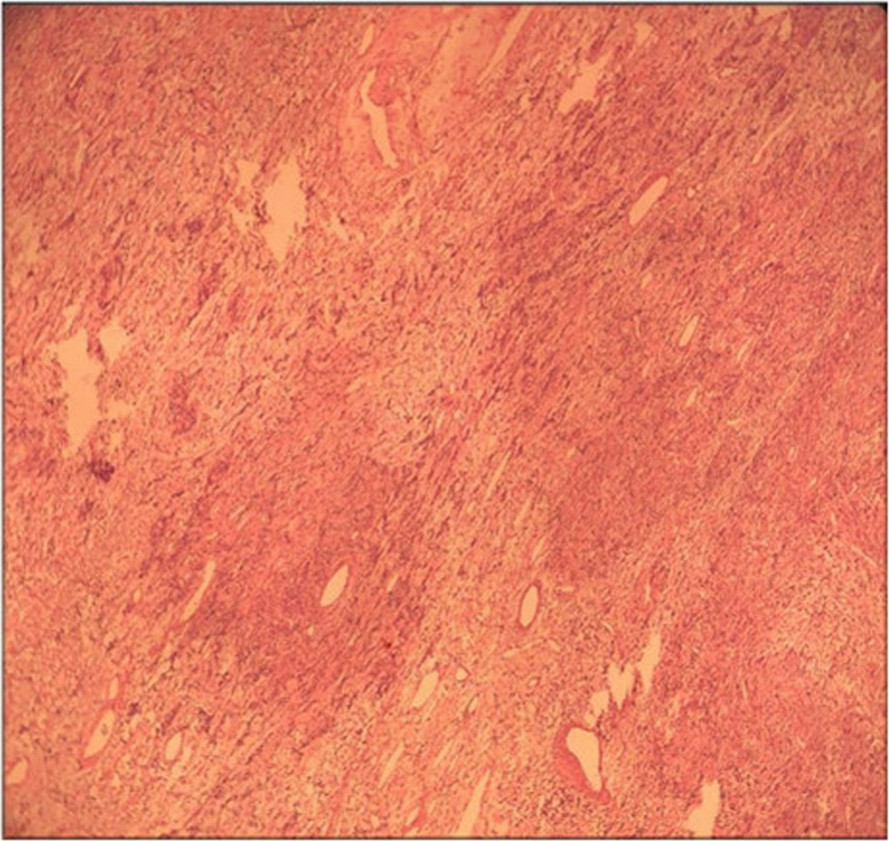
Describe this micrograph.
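This low-power view shows a tumor made of slender, spindle-shaped cells arranged in long, streaming fascicles that run mostly diagonally across the field. The tissue is not uniform: darker, densely cellular areas alternate with paler, more loosely cellular areas, giving a mottled, banded look. Pink fibrous stroma lies between the cells, more visible in the paler zones. At this magnification the nuclei appear small and fairly uniform, and no marked nuclear irregularity stands out.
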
